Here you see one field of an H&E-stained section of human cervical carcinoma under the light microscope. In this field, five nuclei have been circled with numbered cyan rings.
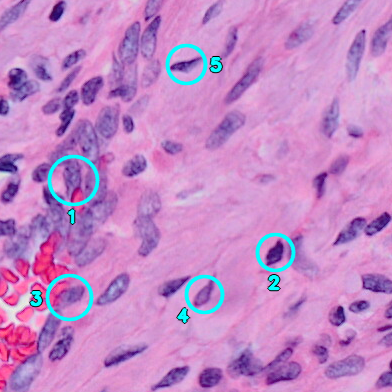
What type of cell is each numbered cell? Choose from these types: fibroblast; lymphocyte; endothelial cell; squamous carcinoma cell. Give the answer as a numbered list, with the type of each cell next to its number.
1. endothelial cell
2. lymphocyte
3. endothelial cell
4. fibroblast
5. fibroblast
